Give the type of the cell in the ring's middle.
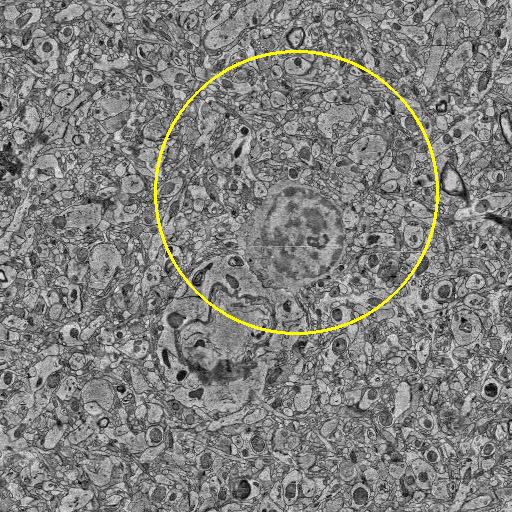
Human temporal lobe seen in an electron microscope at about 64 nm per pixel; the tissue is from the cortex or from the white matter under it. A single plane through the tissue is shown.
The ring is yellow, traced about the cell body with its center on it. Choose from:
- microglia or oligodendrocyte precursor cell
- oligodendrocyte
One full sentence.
Here, an oligodendrocyte is the cell lying at the center of the yellow ring.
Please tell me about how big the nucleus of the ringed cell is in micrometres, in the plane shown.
Approximately 6 micrometres across, in this plane.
